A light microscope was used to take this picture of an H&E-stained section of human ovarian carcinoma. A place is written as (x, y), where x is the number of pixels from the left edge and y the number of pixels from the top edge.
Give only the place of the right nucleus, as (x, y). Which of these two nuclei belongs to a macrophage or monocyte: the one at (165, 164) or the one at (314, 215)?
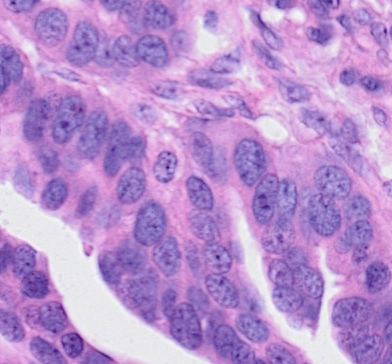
(165, 164)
